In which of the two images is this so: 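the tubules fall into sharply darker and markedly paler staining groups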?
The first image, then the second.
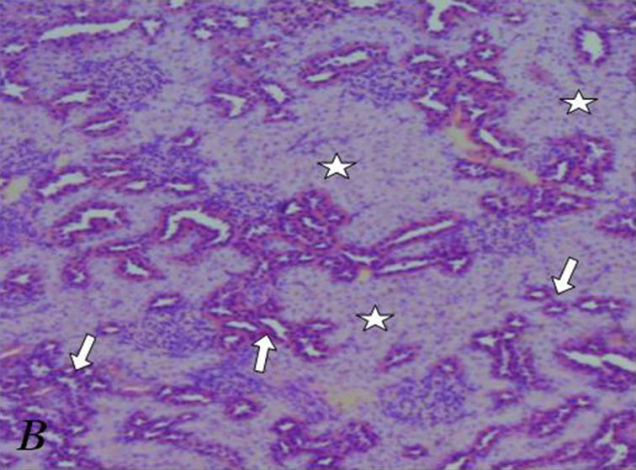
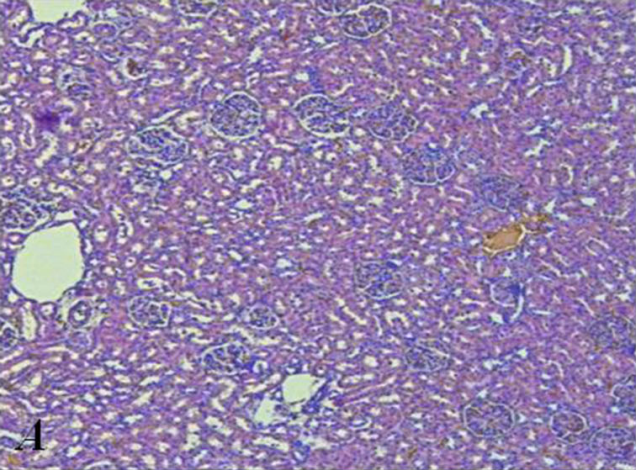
the first image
